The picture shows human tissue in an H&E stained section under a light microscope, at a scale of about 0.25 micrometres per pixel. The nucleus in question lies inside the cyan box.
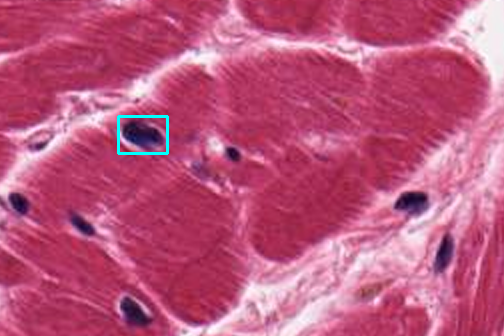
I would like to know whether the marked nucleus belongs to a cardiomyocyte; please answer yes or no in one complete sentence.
Yes, belonging to a cardiomyocyte is the marked nucleus.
